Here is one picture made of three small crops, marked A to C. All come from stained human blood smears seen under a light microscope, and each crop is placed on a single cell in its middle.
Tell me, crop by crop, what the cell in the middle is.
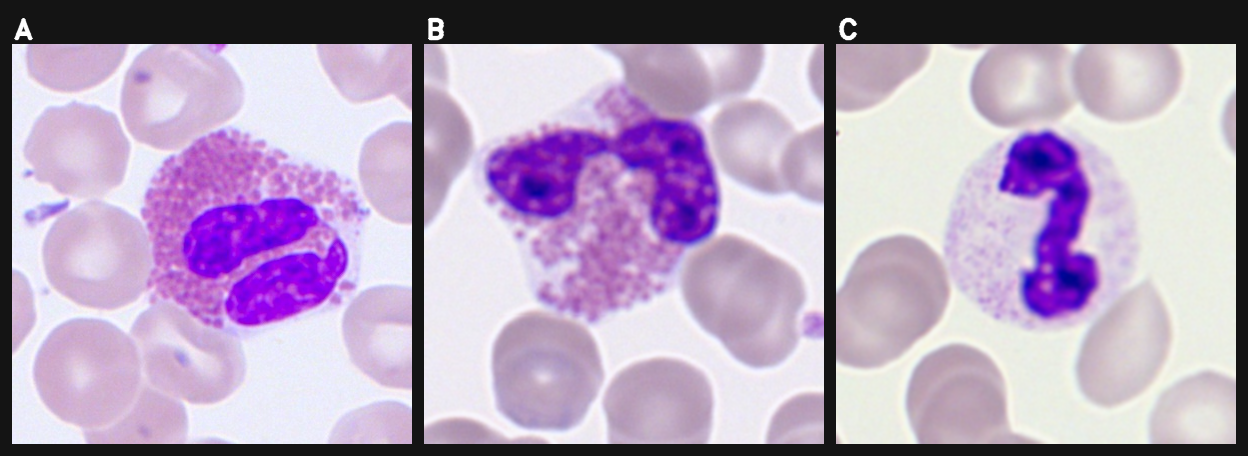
A: eosinophil
B: eosinophil
C: segmented neutrophil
